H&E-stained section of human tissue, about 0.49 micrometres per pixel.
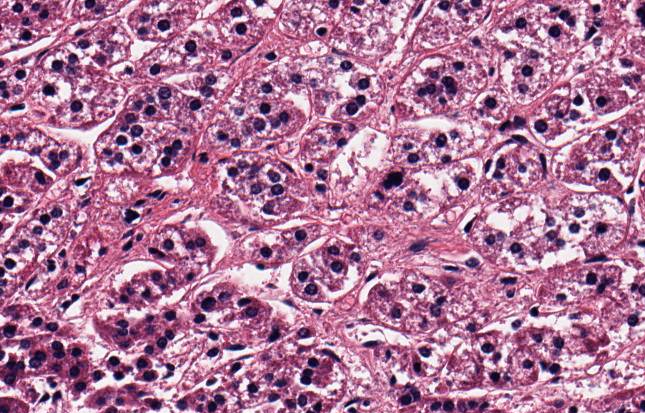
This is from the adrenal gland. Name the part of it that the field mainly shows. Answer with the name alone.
medulla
